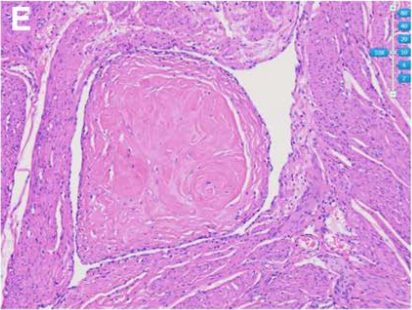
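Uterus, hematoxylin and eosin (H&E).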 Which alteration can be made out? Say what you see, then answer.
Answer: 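A rounded nodule of pink tissue sits inside a space lined by a thin wall. A narrow clear cleft separates the nodule from the surrounding wall. The surrounding tissue is bundled pink fibres.
Intravascular tumors filling the venous lumen.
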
